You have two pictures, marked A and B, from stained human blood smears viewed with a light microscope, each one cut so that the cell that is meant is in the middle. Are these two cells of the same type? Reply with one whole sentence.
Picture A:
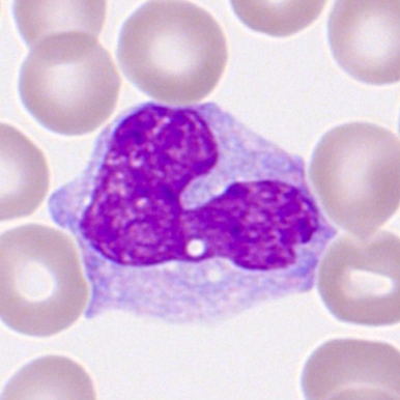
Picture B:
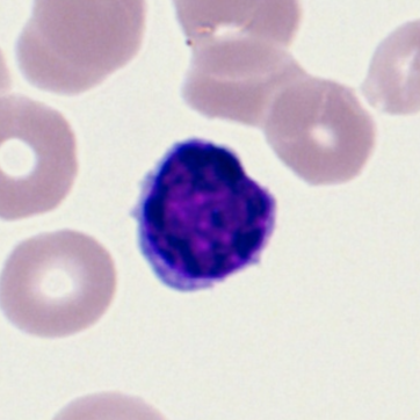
No, the types are not the same, since picture A shows a monocyte and picture B a lymphocyte.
